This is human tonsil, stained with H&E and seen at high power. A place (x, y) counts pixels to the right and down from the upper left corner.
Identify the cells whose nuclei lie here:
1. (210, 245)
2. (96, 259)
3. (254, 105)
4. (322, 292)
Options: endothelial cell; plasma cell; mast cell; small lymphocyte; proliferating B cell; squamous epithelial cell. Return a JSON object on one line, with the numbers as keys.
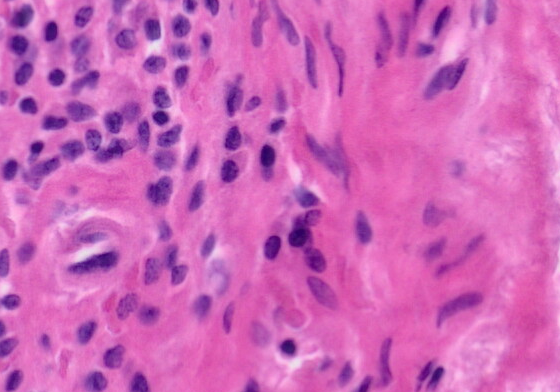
{"1": "endothelial cell", "2": "endothelial cell", "3": "mast cell", "4": "endothelial cell"}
